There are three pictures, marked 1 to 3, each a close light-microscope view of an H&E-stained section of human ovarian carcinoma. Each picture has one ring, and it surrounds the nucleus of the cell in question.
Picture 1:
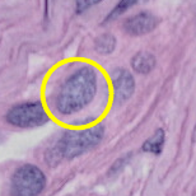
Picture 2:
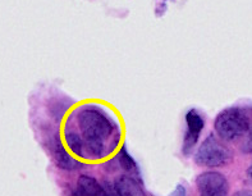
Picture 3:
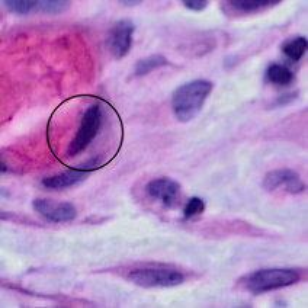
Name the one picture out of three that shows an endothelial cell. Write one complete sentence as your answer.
The picture with the endothelial cell is 3.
